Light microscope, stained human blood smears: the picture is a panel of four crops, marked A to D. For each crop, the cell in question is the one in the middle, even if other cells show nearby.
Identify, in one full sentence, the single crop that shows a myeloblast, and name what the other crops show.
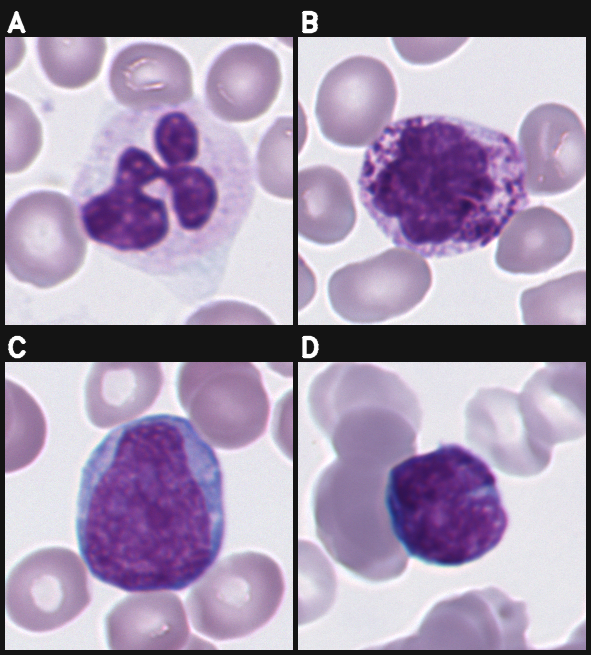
Crop C is to be called a myeloblast, while crop A is a segmented neutrophil, crop B is a basophil and crop D is a typical lymphocyte.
